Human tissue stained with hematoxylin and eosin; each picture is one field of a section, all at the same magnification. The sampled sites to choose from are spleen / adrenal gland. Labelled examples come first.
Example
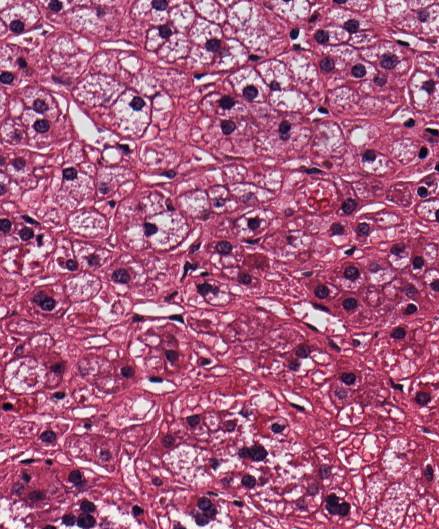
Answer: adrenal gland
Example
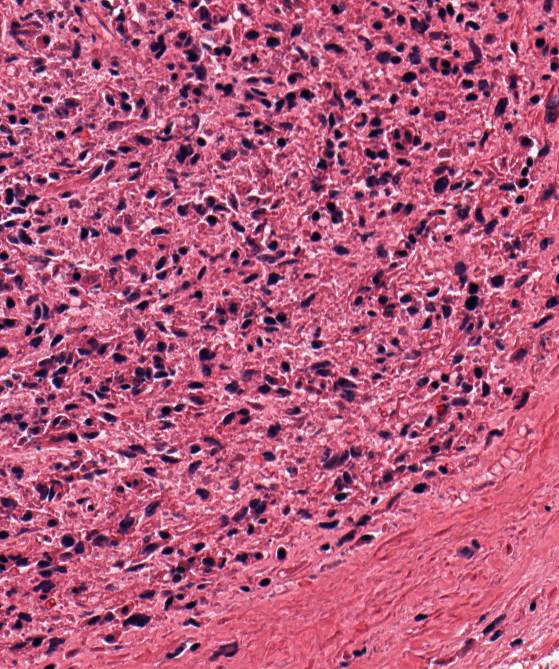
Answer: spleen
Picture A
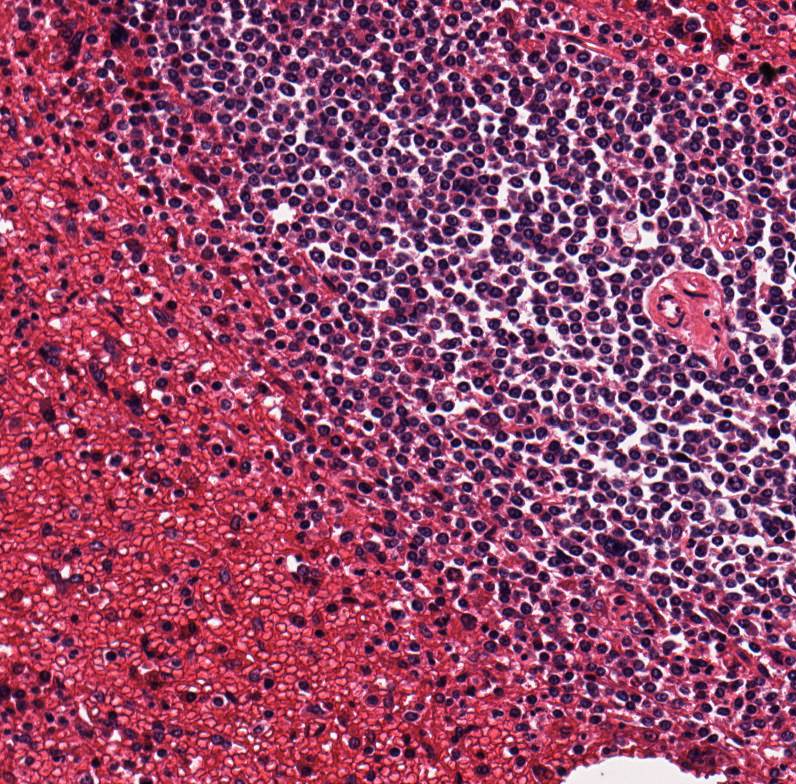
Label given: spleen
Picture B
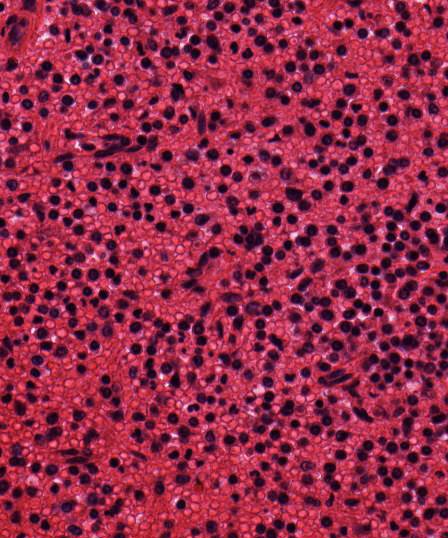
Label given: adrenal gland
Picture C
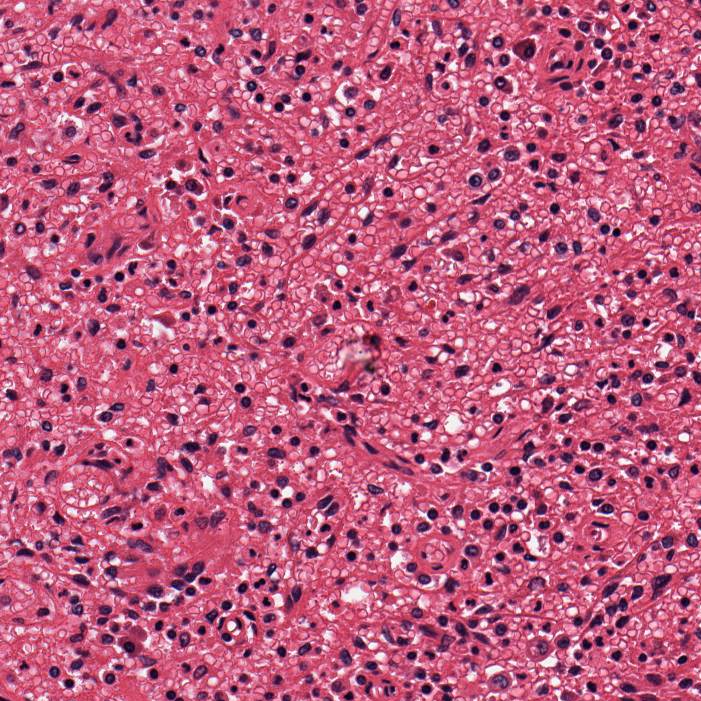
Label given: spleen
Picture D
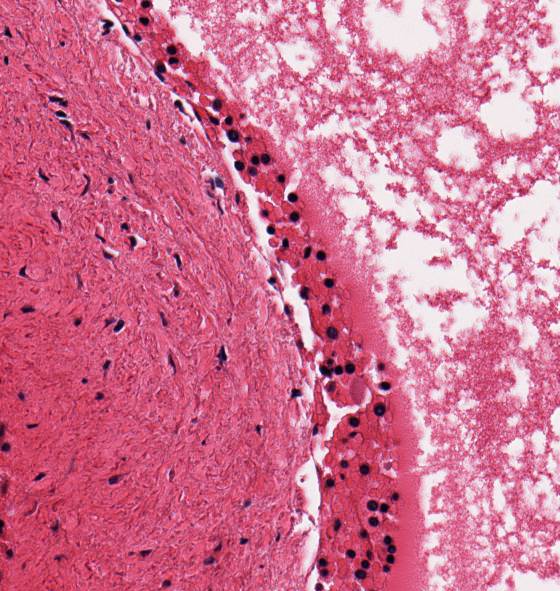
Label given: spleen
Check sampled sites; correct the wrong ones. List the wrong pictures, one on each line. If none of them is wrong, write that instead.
B: spleen, not adrenal gland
